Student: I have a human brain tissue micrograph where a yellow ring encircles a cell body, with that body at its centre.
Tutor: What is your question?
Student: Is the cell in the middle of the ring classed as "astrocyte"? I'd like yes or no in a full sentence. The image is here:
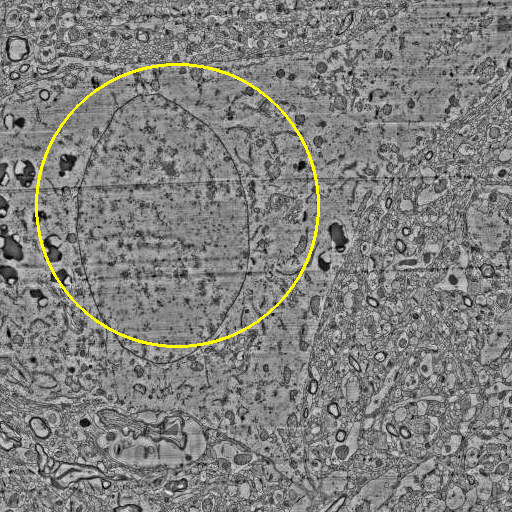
No, the ringed cell in the middle counts as another kind.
